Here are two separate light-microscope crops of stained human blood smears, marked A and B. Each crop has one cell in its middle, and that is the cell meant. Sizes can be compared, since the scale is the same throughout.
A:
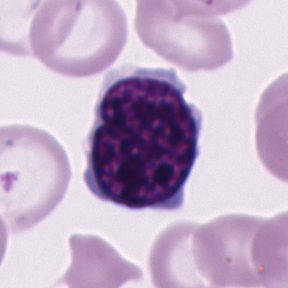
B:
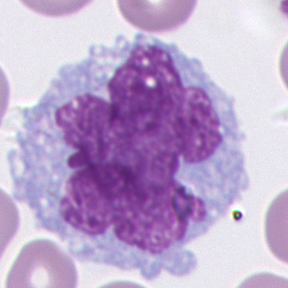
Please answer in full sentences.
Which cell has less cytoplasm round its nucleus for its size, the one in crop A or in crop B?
The nucleus fills more of the cell in crop A than in crop B.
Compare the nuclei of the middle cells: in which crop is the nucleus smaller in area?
Crop A shows the smaller nucleus, since that in crop B covers about 2 times as much area.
